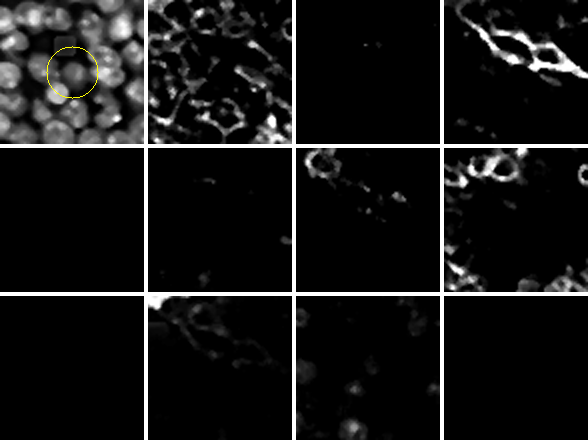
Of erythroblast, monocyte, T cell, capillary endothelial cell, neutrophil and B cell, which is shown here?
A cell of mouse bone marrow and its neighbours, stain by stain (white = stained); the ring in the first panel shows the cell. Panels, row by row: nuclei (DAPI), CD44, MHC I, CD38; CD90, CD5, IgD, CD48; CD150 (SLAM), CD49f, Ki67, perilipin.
capillary endothelial cell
